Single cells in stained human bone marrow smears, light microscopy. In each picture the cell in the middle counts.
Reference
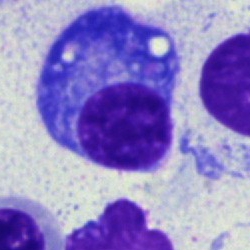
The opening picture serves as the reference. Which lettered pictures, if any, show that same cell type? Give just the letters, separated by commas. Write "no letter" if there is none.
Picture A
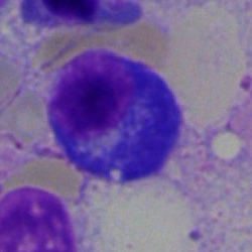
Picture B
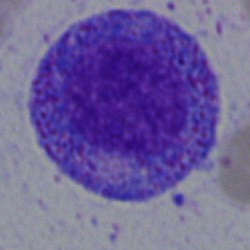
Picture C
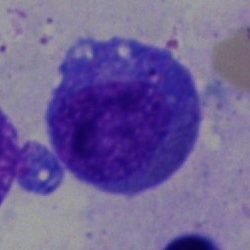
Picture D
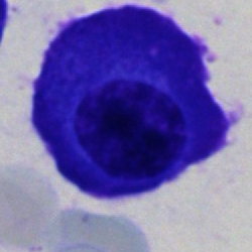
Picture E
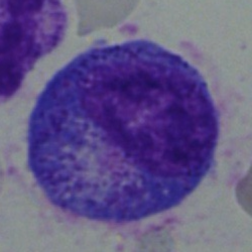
A, D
